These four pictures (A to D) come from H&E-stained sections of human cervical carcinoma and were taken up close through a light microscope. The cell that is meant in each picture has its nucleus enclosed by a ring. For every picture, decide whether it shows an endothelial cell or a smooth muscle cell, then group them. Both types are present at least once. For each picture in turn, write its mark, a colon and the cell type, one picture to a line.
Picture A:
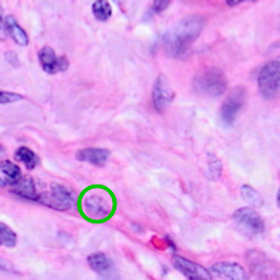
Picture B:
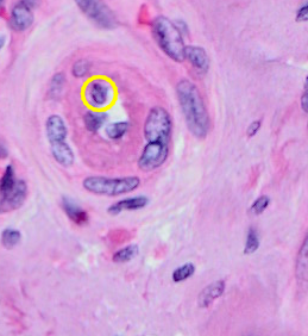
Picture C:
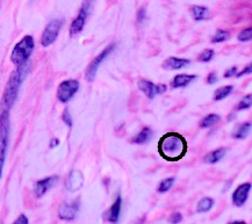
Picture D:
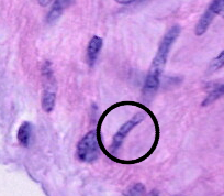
A: endothelial cell
B: endothelial cell
C: smooth muscle cell
D: smooth muscle cell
